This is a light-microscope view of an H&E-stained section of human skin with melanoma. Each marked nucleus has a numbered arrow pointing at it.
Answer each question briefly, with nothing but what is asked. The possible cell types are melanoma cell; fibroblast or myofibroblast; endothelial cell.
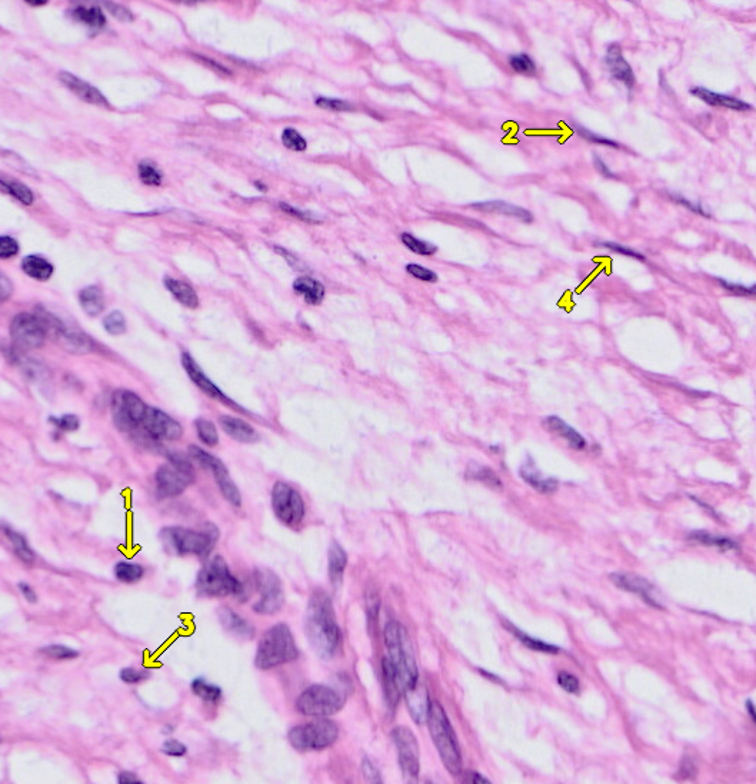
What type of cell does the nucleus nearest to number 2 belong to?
fibroblast or myofibroblast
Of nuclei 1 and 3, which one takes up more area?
1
